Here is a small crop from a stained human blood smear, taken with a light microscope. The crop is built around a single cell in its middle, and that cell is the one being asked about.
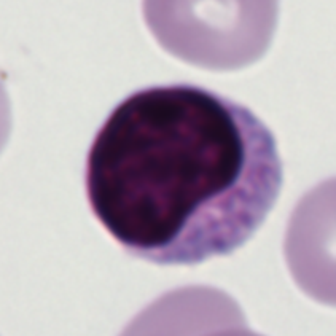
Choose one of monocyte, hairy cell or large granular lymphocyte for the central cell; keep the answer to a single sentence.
This particular crop is centered on a large granular lymphocyte.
